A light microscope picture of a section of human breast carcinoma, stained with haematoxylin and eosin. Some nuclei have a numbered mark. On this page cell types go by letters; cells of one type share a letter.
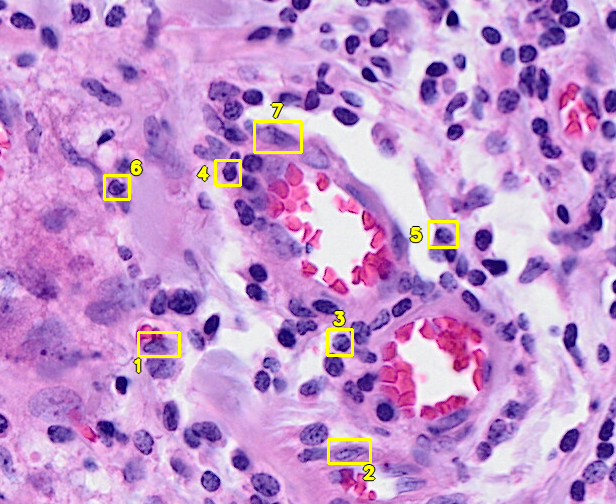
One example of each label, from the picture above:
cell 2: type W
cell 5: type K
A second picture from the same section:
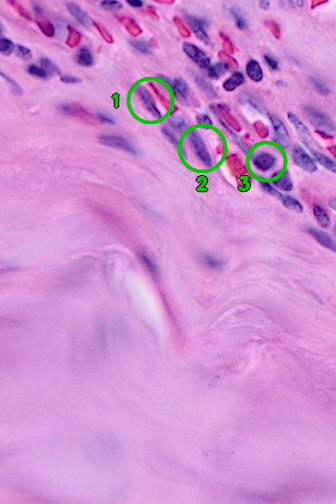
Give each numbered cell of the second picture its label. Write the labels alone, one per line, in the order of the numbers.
type W
type W
type K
